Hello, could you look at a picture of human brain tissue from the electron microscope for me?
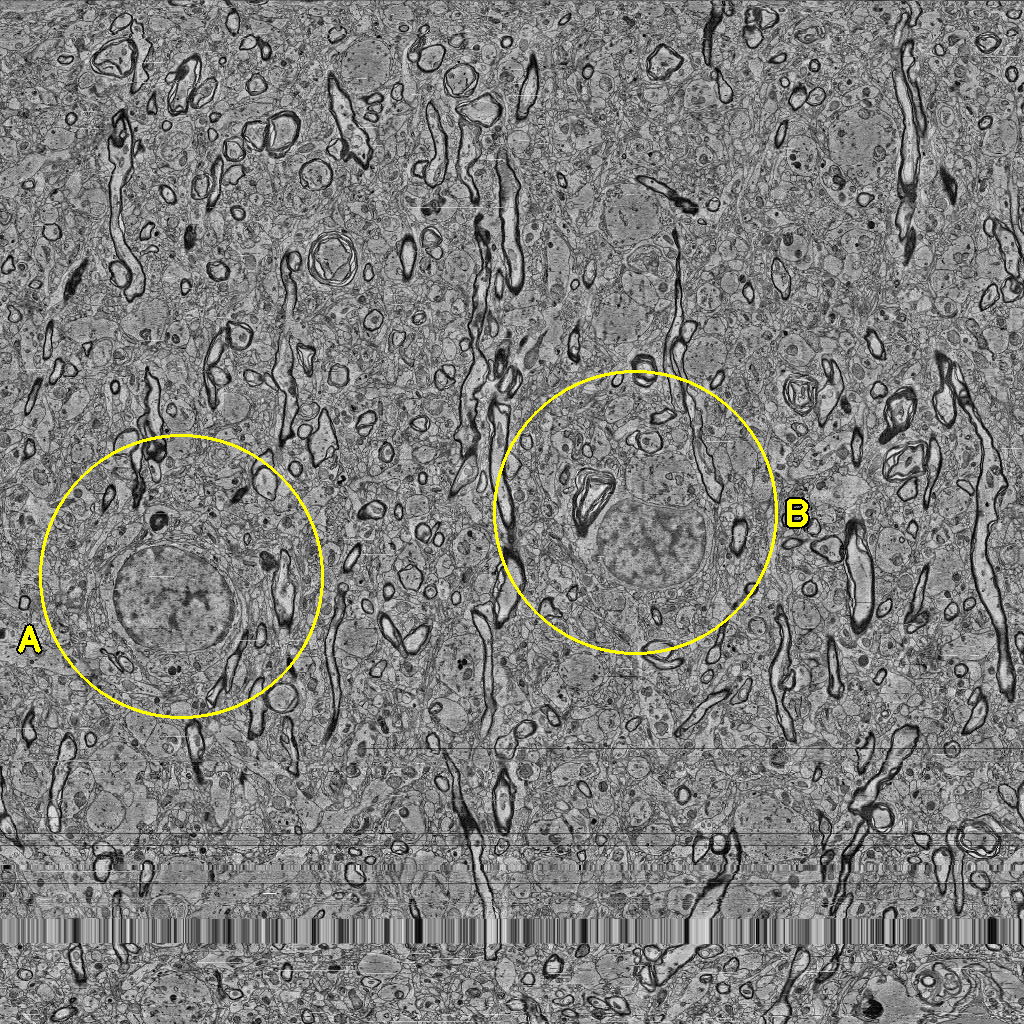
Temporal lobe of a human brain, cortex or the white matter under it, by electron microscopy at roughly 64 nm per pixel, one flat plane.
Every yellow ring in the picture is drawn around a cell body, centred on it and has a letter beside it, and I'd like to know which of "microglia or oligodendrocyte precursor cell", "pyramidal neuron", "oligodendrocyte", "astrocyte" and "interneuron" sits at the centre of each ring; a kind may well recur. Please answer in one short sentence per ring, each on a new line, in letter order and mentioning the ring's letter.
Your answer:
The cell sitting at the centre of ring A is a microglial cell or oligodendrocyte precursor cell.
The cell sitting at the centre of ring B is an oligodendrocyte.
